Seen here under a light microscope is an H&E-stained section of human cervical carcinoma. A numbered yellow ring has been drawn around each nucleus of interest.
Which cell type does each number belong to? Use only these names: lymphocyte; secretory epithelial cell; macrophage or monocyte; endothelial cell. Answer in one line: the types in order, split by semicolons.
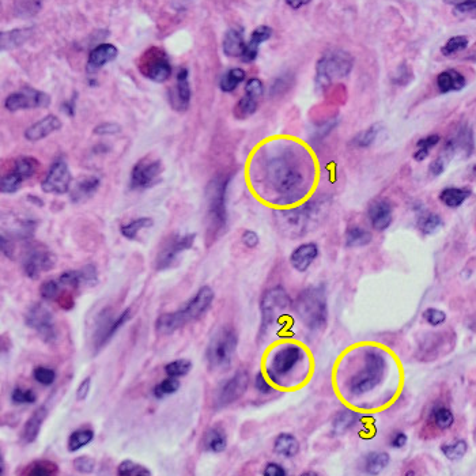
endothelial cell; lymphocyte; macrophage or monocyte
